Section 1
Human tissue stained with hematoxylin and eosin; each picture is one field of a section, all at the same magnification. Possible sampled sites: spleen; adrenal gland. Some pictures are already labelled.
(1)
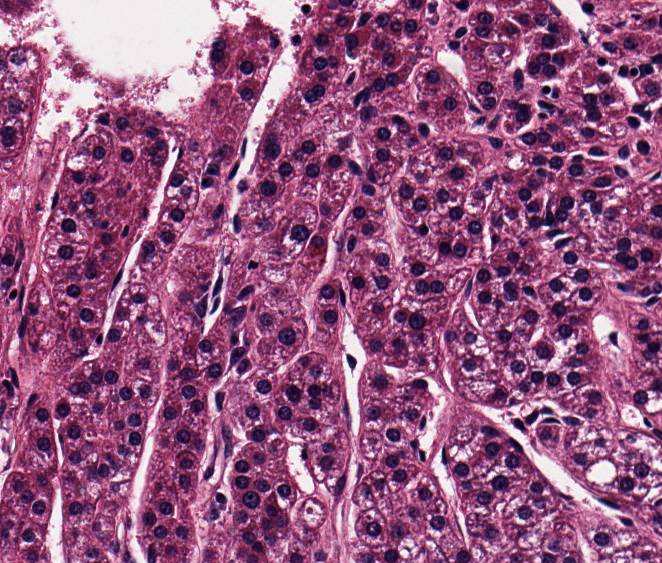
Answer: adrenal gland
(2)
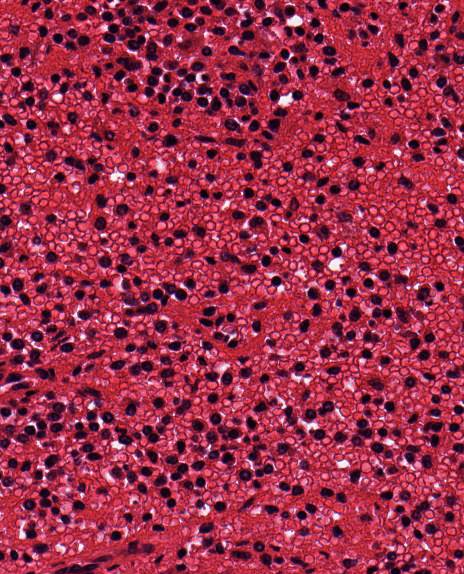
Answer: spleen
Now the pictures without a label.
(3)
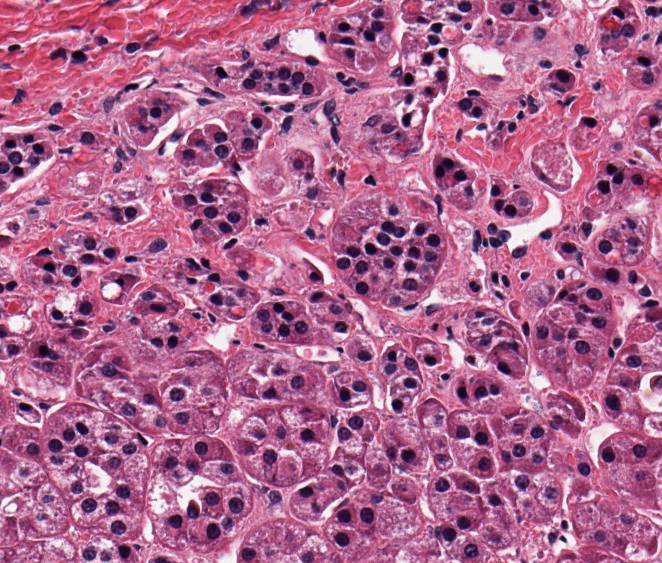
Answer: adrenal gland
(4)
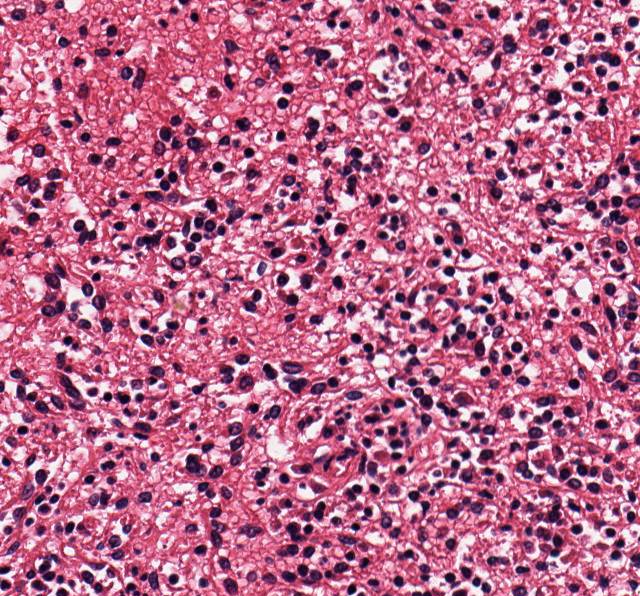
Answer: spleen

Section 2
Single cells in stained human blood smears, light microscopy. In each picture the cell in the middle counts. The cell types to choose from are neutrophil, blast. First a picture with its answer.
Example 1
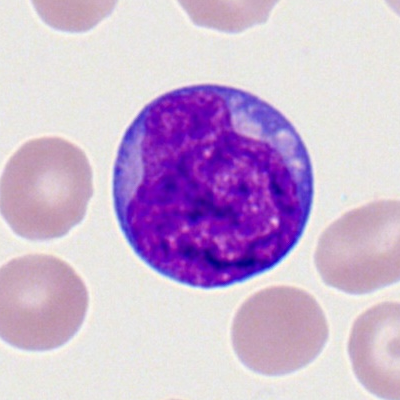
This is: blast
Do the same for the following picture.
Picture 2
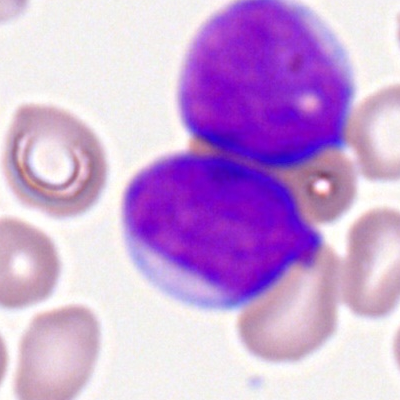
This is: blast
